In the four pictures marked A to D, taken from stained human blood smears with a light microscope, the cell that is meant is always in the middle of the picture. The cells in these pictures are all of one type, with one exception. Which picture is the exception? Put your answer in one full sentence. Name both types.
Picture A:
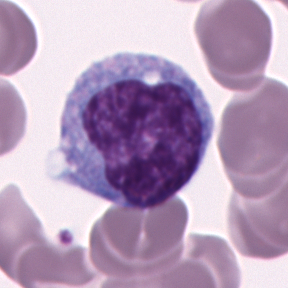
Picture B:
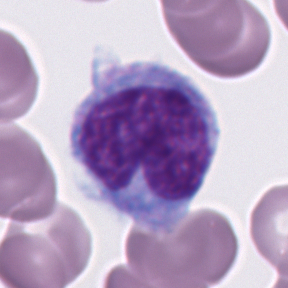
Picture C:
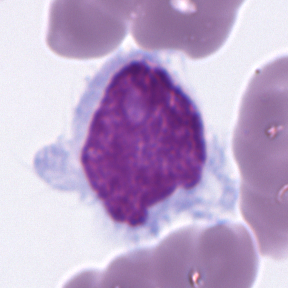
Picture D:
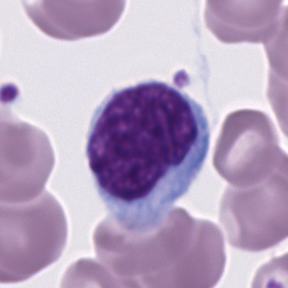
Picture C is the odd one out: it shows a hairy cell, while the others show monocytes.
